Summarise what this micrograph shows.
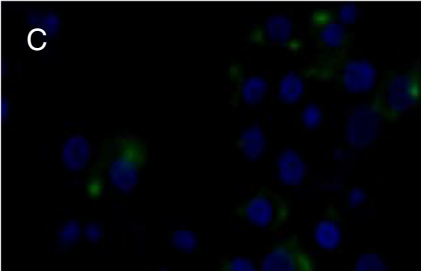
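These are cultured cells seen mainly by their round blue nuclei, which lie scattered and fairly widely spaced across a dark field, with a large empty area at the left. The nuclei are round to oval and of varying size and brightness. Green staining is weak: only small, faint green specks and short wisps lie beside some nuclei, and the cell outlines and long slender processes are not picked out. The cytoplasm is therefore hardly visible, and the cells appear as isolated nuclei rather than as a connected network.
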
